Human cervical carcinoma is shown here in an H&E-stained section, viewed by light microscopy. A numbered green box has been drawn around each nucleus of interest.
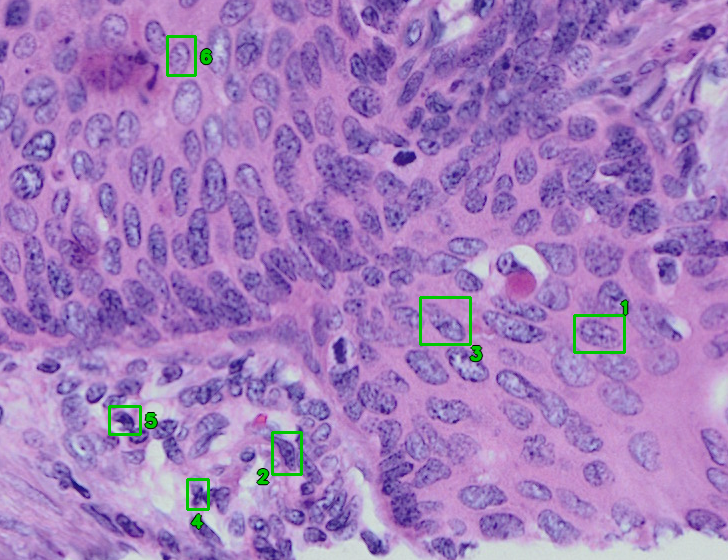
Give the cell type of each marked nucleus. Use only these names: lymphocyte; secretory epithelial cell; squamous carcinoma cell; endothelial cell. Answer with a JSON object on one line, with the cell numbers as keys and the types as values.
{"1": "squamous carcinoma cell", "2": "endothelial cell", "3": "squamous carcinoma cell", "4": "lymphocyte", "5": "lymphocyte", "6": "squamous carcinoma cell"}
